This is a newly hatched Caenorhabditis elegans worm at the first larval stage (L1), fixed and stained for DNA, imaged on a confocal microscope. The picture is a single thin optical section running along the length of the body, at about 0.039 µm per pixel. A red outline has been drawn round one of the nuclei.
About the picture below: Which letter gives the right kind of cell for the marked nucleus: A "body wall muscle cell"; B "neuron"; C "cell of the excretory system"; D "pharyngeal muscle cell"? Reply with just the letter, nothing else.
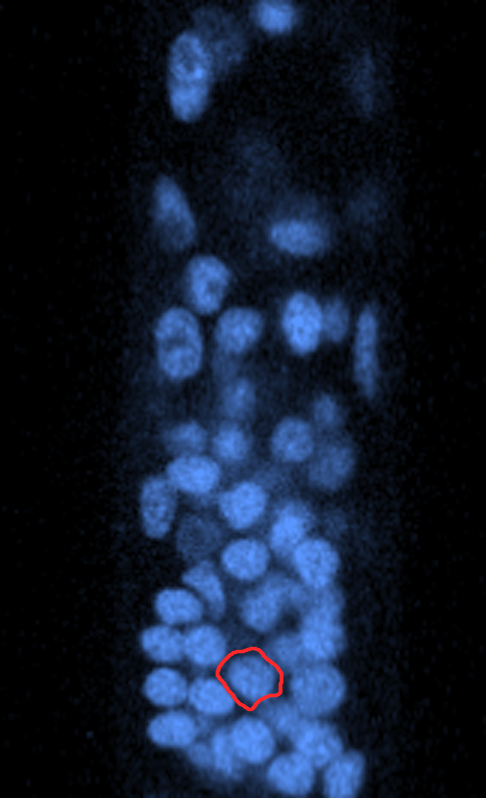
B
